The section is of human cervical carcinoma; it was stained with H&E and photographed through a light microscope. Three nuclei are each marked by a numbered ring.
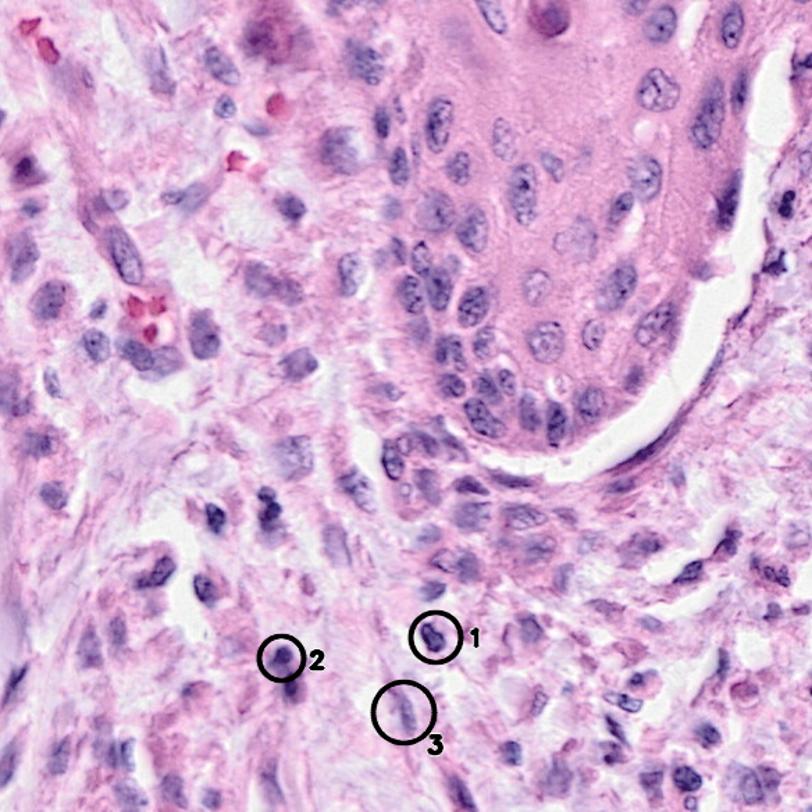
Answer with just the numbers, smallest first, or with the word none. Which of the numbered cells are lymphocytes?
1, 2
